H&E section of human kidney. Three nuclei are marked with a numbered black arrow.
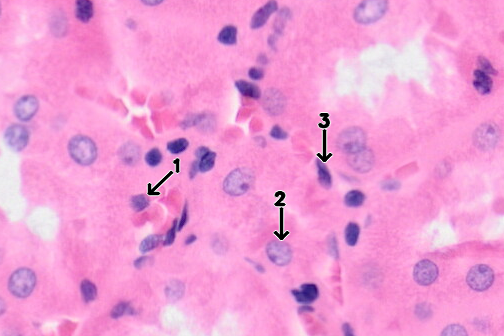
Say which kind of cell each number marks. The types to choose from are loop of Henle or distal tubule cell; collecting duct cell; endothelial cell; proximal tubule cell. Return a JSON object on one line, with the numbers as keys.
{"1": "endothelial cell", "2": "proximal tubule cell", "3": "endothelial cell"}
